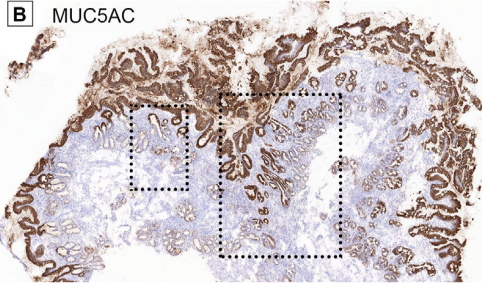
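Columnar glandular mucosa with the surface foveolar epithelium stained deep brown along the luminal folds. Deeper glands in the mid mucosa are paler, and the intervening stroma is blue and unstained.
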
